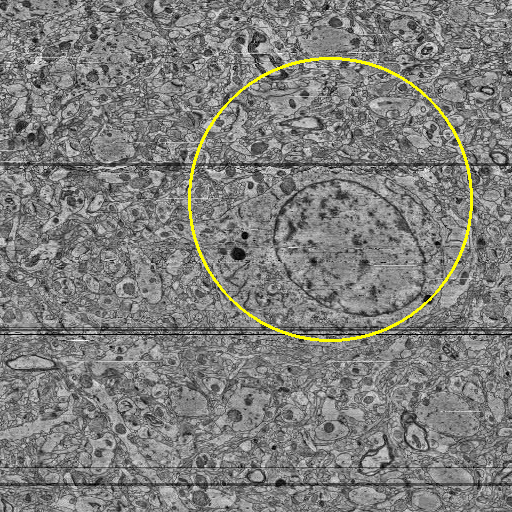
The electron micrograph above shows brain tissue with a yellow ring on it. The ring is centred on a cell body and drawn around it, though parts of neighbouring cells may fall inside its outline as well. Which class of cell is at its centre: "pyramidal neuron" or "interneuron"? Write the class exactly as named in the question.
pyramidal neuron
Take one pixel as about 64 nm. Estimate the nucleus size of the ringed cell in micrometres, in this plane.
Roughly 10 by 8 micrometres in this plane, for the nucleus of the ringed cell.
